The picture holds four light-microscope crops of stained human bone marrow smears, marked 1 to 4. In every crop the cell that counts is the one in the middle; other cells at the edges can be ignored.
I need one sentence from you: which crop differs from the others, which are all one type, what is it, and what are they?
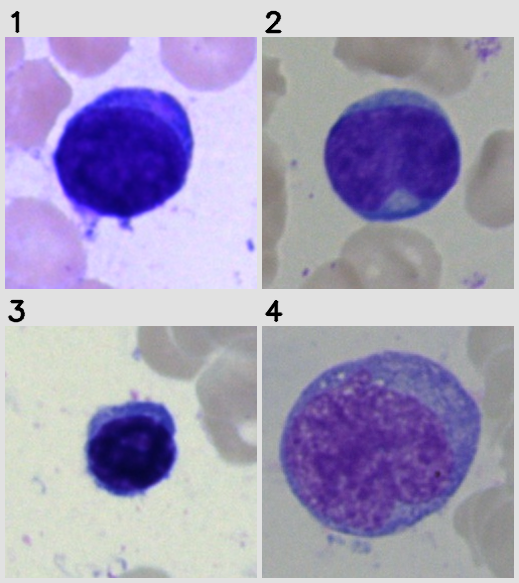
Of the crops, all show blasts save crop 3, which shows a lymphocyte.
